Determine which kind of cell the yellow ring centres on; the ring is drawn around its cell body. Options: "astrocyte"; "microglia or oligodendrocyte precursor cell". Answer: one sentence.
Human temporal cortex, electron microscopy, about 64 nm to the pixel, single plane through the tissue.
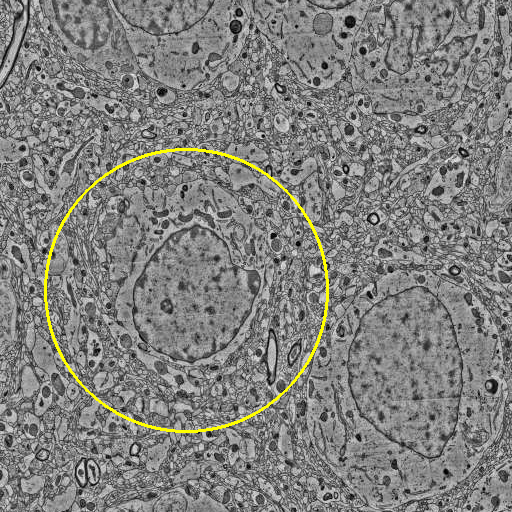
The ring centres on a microglial cell or oligodendrocyte precursor cell.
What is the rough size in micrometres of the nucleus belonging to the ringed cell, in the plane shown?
The nucleus is about 8 micrometres across in this plane.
